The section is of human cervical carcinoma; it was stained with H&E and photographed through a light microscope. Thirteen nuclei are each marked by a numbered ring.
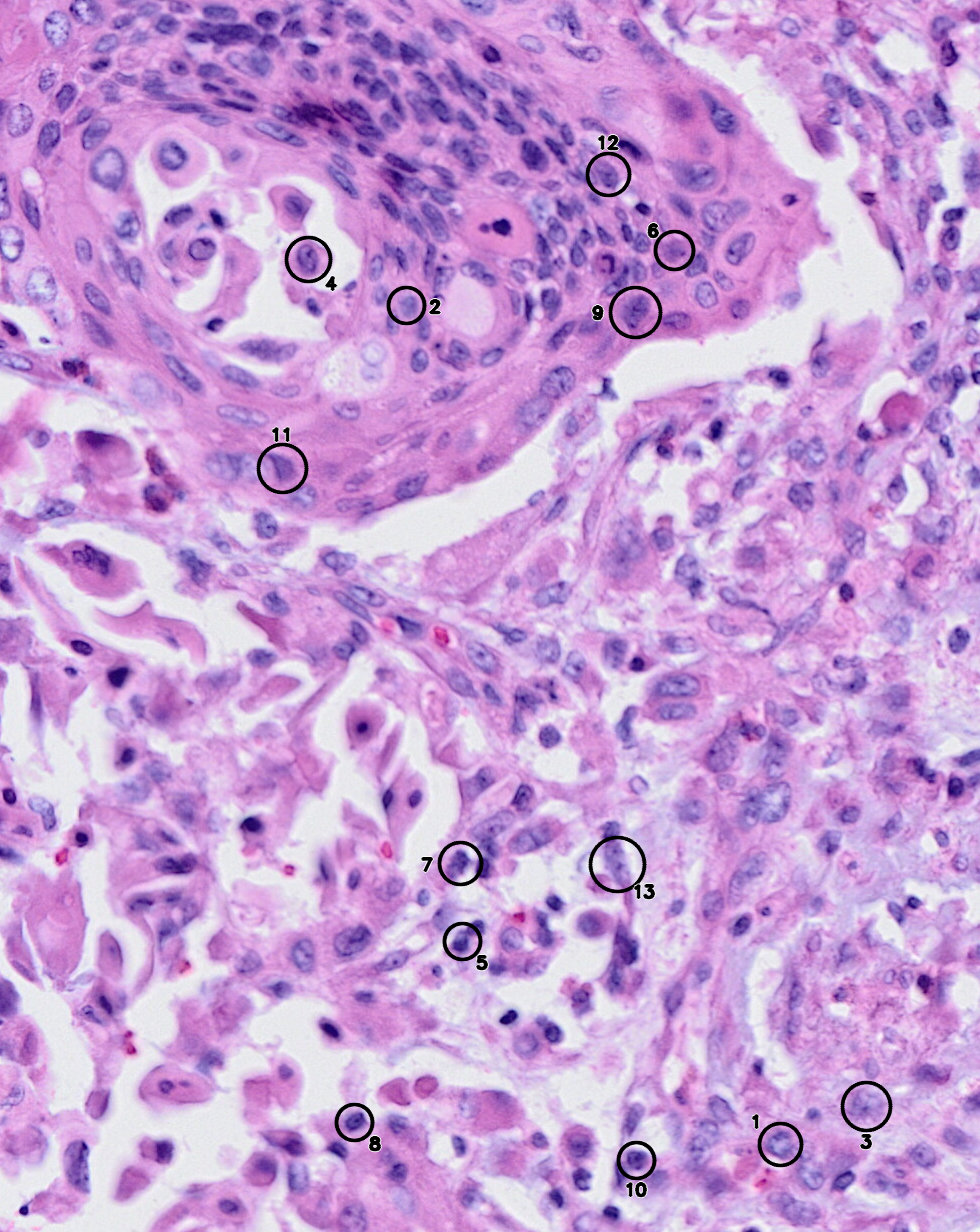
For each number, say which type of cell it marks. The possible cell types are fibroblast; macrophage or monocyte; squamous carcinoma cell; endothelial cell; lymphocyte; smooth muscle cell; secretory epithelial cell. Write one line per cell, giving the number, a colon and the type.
1: endothelial cell
2: squamous carcinoma cell
3: fibroblast
4: squamous carcinoma cell
5: lymphocyte
6: squamous carcinoma cell
7: lymphocyte
8: lymphocyte
9: squamous carcinoma cell
10: lymphocyte
11: squamous carcinoma cell
12: squamous carcinoma cell
13: fibroblast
